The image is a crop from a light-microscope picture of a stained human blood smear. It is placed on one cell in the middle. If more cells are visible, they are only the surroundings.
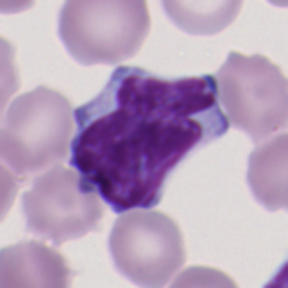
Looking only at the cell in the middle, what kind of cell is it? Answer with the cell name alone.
typical lymphocyte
